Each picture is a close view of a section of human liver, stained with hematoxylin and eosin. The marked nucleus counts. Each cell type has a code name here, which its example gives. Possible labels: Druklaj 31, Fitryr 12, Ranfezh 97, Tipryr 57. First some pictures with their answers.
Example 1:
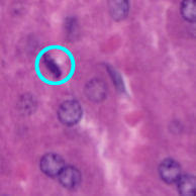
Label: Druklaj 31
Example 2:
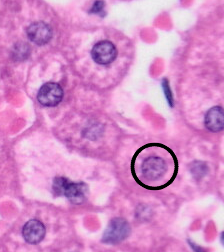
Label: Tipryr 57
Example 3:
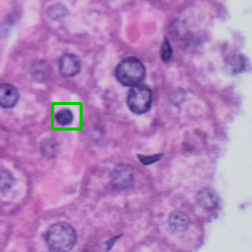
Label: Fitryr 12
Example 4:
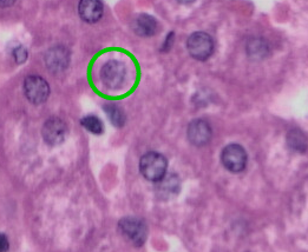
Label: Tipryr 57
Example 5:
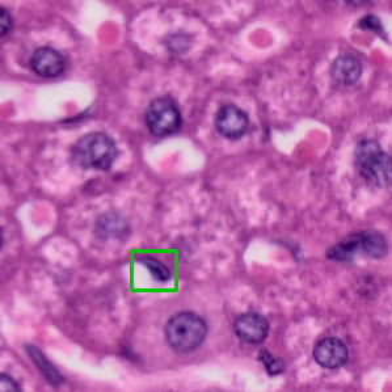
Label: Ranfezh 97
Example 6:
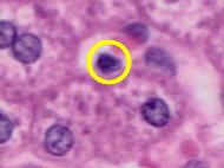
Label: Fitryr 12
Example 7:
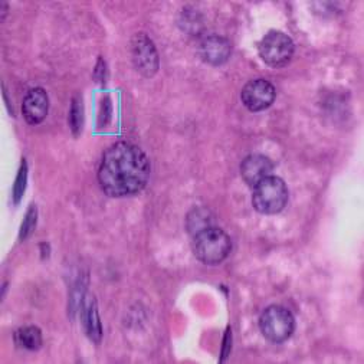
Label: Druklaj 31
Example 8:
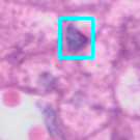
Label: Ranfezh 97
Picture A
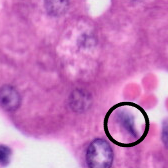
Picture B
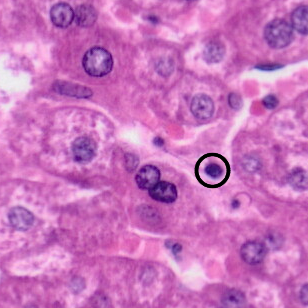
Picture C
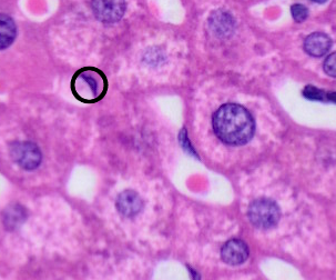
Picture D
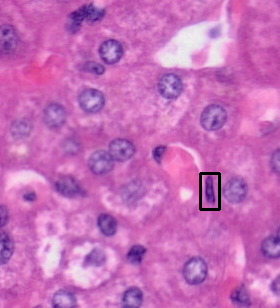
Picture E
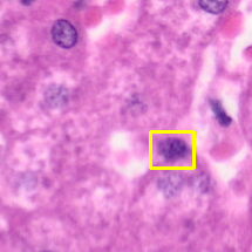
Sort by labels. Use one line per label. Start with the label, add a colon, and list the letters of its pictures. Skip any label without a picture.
Druklaj 31: D, E
Fitryr 12: B
Ranfezh 97: A, C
